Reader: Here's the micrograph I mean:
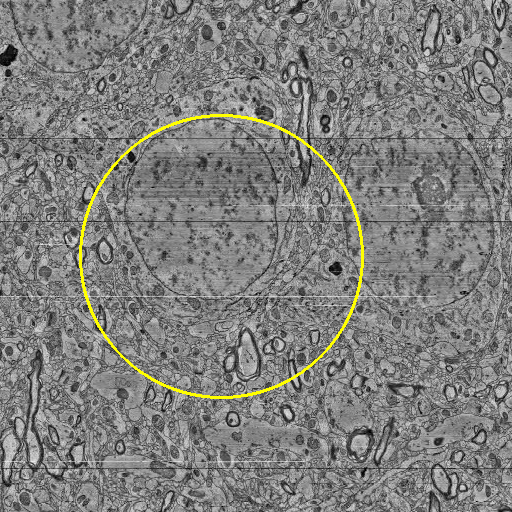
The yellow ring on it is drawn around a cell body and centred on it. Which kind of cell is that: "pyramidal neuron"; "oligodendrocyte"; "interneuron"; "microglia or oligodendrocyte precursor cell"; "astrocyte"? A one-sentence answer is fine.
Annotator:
The ring is centred on a pyramidal neuron.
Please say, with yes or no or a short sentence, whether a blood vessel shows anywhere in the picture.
No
